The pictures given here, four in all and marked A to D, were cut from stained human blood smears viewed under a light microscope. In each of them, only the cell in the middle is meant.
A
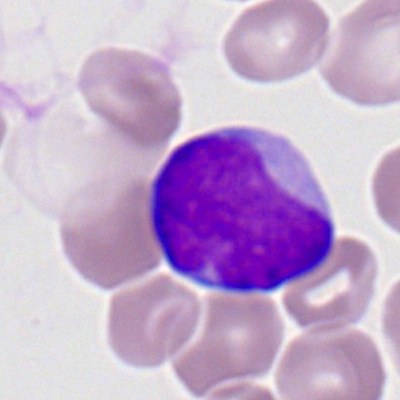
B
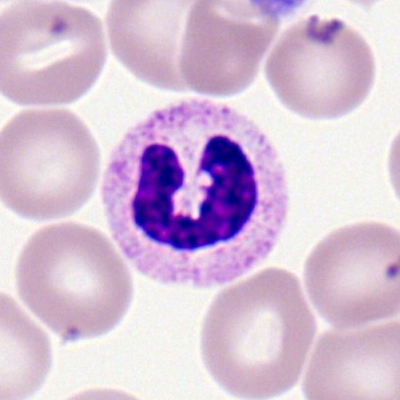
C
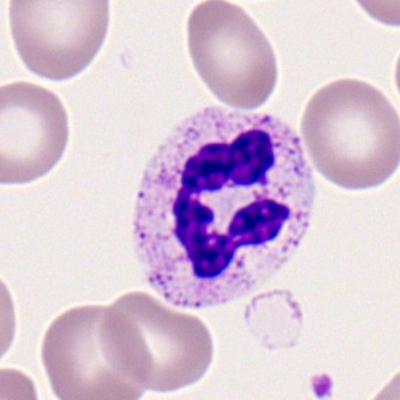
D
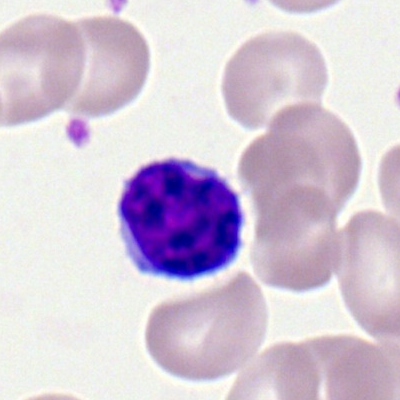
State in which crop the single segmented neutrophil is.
C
